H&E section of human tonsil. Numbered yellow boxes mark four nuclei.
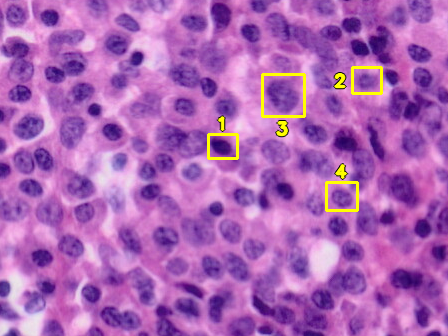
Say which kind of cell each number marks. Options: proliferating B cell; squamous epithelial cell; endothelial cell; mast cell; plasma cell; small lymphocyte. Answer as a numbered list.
1. plasma cell
2. plasma cell
3. squamous epithelial cell
4. plasma cell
